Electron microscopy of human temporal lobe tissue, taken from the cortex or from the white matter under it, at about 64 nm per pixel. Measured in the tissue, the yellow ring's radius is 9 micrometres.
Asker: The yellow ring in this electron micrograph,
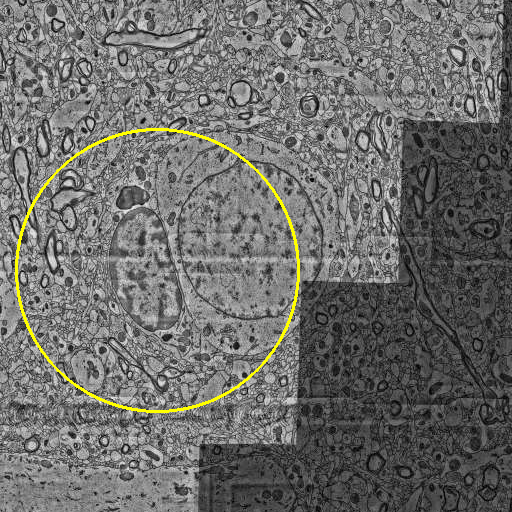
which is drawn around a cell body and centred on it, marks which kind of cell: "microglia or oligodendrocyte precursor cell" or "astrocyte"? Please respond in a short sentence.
The marked cell is a microglial cell or oligodendrocyte precursor cell.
